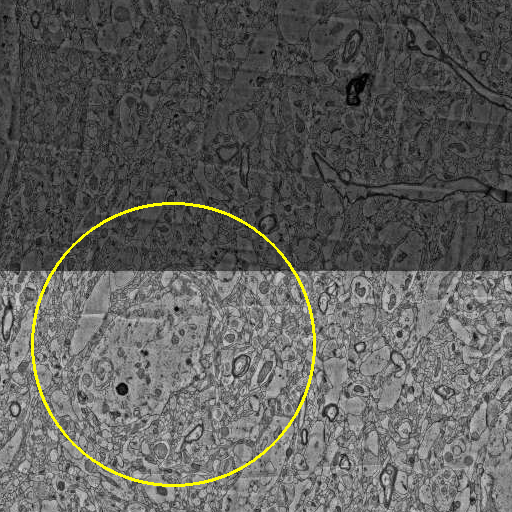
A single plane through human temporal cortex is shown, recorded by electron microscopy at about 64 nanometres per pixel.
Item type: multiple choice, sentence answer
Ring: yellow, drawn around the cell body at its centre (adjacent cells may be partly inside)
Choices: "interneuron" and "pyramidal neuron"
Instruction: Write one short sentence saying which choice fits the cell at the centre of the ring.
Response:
This ring is drawn around a pyramidal neuron.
